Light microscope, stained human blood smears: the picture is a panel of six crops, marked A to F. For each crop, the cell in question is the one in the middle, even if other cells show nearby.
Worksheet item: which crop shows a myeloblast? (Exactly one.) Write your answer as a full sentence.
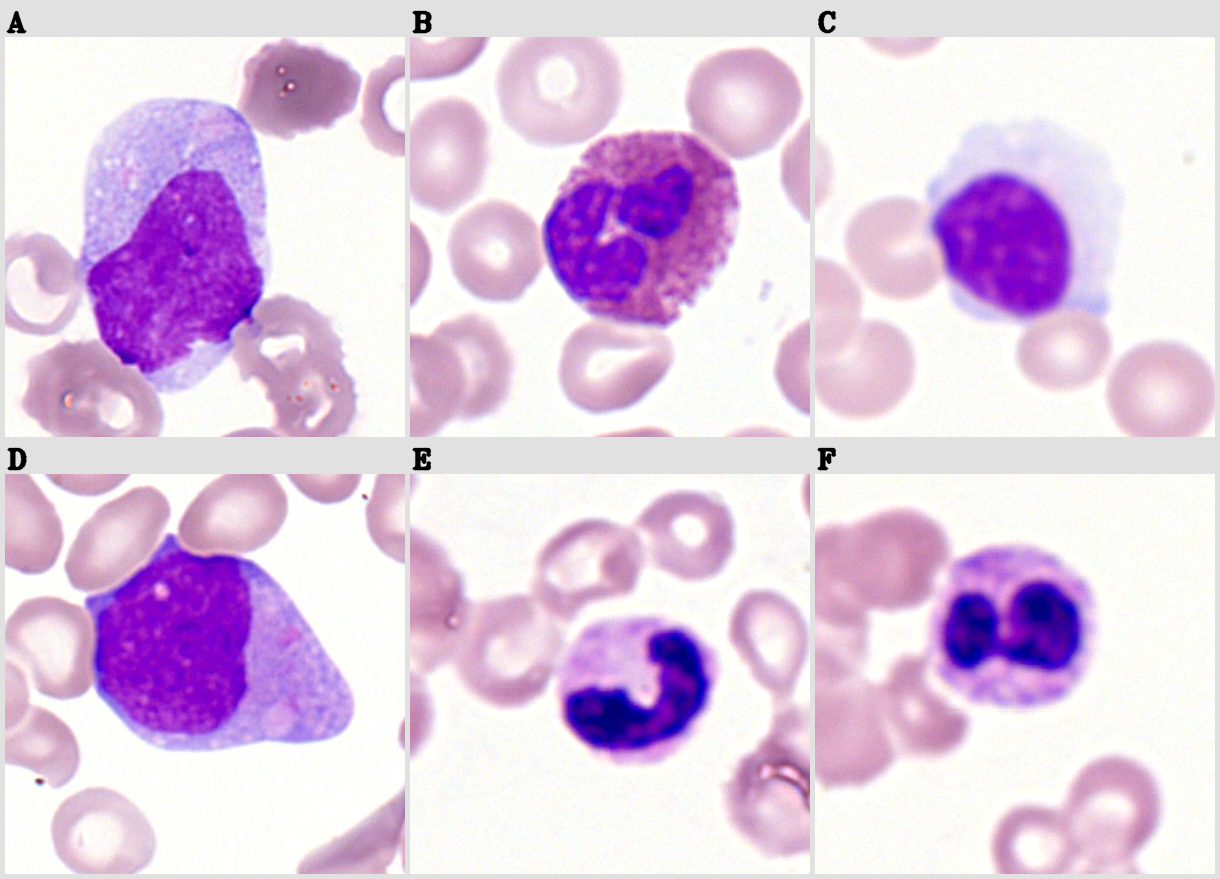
Among the crops, only crop D contains a myeloblast.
